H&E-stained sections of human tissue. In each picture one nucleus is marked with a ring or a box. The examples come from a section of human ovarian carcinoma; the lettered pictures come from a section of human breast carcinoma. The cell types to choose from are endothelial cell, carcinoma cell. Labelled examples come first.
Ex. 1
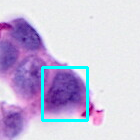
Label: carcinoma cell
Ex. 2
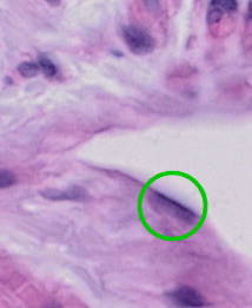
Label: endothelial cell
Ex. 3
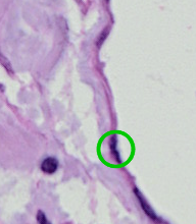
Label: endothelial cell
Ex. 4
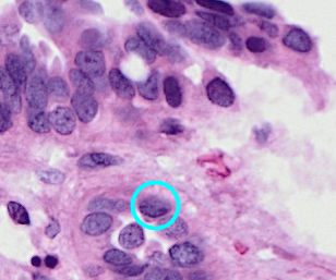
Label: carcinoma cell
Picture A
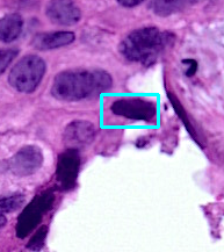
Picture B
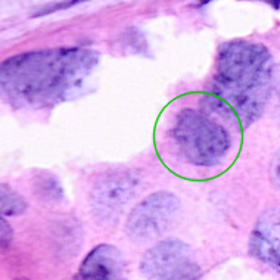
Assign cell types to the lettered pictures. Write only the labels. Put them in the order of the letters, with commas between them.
carcinoma cell, carcinoma cell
